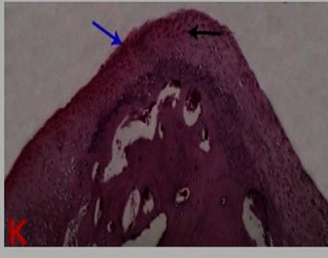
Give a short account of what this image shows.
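Cartilage covering a dome-shaped joint surface, with a smooth, continuous outer edge. The cartilage layer is densely cellular, its small dark nuclei lying scattered and in small groups and short rows within a deep pink to purple matrix. Below it the tissue passes into pink-staining bone whose trabeculae enclose irregular pale marrow spaces. The surface shows no clefts or fraying.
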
